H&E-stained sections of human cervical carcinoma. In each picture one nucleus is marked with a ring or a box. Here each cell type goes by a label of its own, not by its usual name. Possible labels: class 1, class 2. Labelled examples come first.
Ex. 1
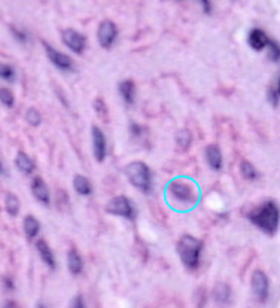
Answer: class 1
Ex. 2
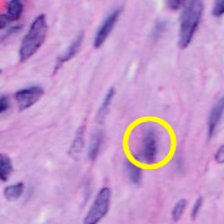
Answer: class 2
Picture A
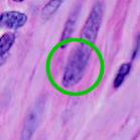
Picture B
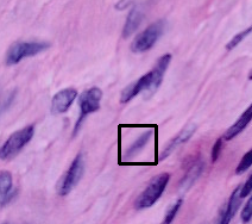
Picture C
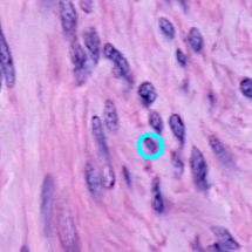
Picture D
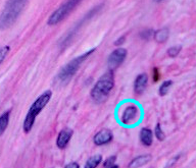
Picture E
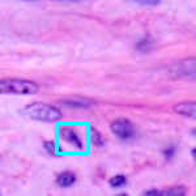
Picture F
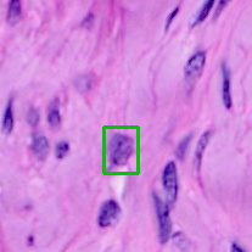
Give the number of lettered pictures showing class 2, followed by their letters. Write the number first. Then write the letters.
Count: 2 (B, F)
